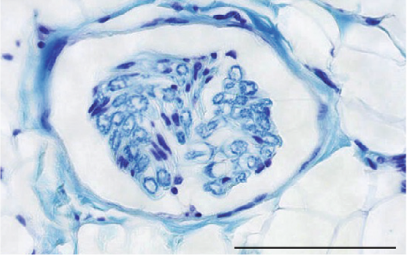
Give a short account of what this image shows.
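A small nerve in cross-section, with a rounded bundle of myelinated fibers seen as closely packed blue rings. The bundle is surrounded by a pale space and a blue-stained fibrous sheath with elongated dark nuclei. Empty fat vacuoles lie around the nerve.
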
